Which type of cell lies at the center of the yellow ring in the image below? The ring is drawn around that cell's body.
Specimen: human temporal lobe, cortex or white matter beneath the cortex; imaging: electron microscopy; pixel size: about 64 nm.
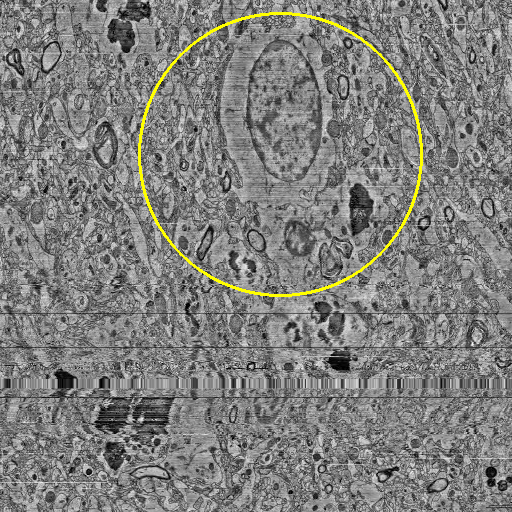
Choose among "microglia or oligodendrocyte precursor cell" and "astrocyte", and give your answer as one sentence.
The cell body at the center belongs to an astrocyte.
